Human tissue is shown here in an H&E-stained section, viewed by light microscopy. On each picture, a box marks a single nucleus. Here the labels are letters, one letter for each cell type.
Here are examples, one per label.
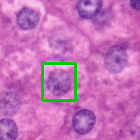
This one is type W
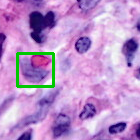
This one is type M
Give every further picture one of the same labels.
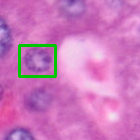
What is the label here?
type W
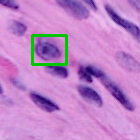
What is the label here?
type M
